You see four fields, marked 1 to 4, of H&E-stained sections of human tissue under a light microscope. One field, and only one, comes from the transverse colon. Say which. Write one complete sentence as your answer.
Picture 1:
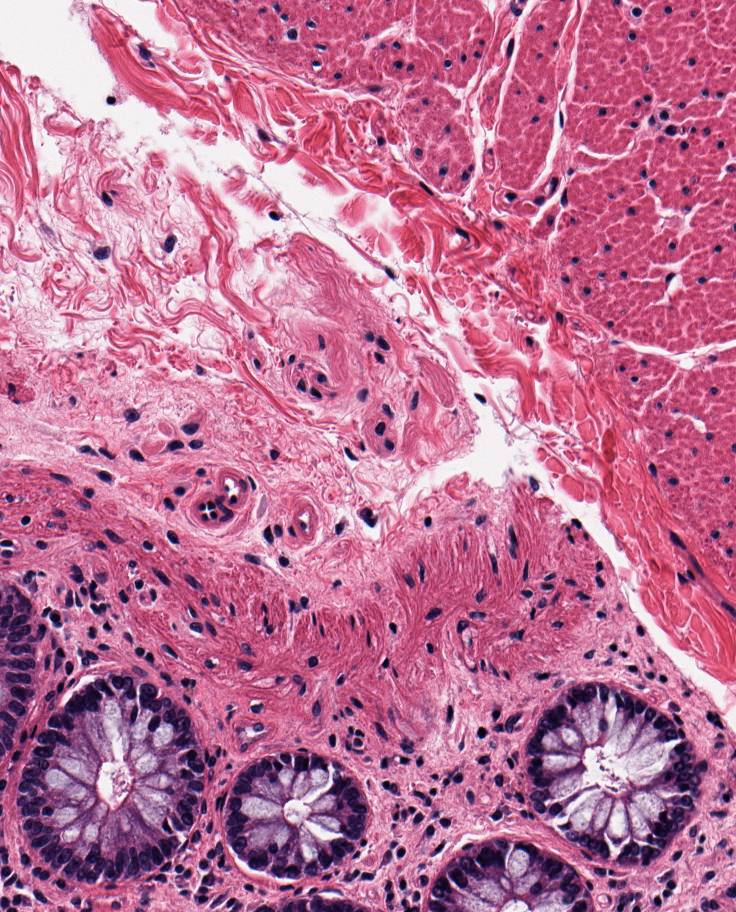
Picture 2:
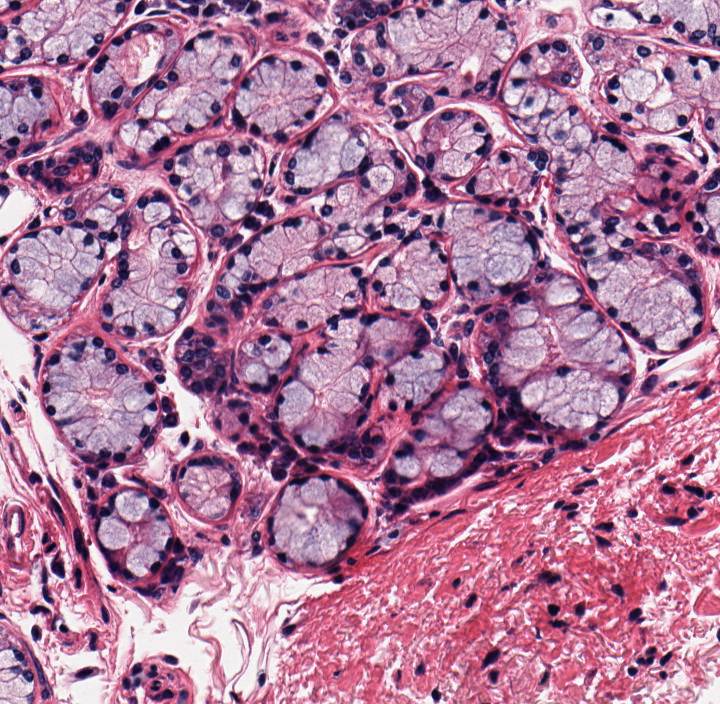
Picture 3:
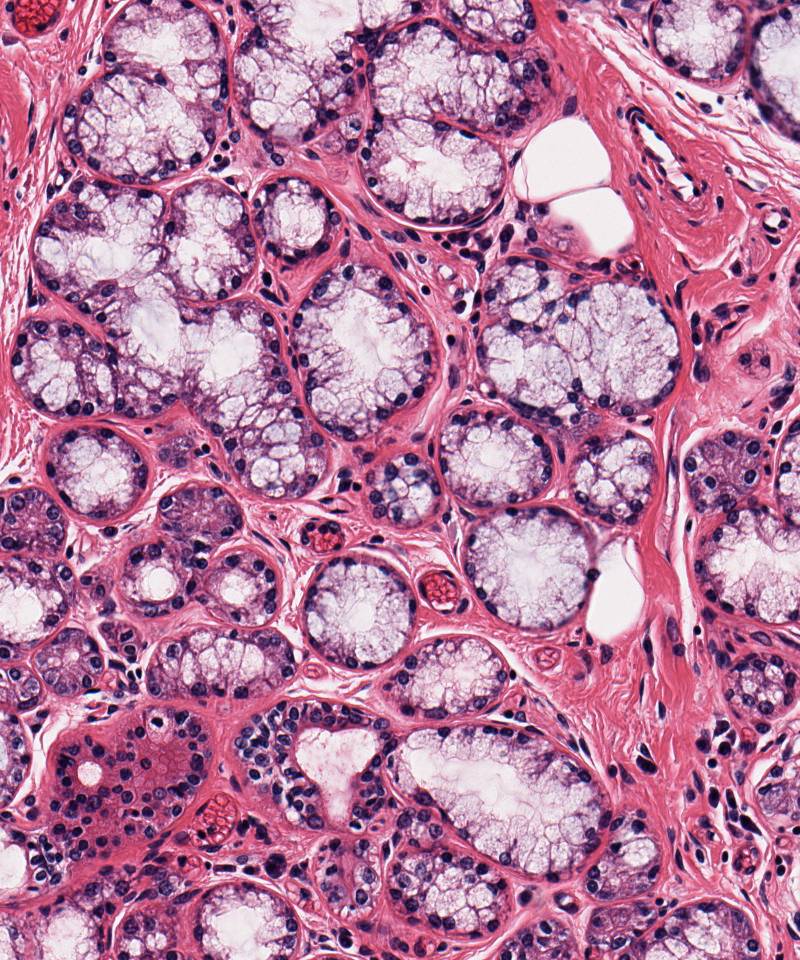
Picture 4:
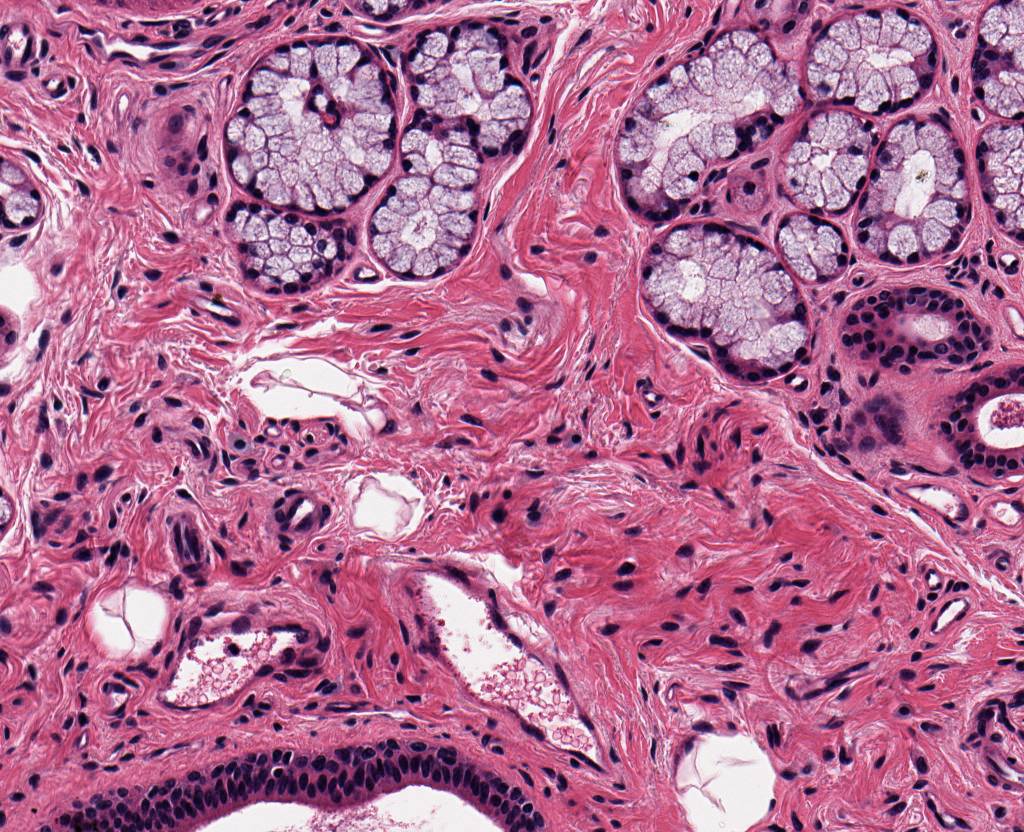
The one that comes from the transverse colon is picture 1.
